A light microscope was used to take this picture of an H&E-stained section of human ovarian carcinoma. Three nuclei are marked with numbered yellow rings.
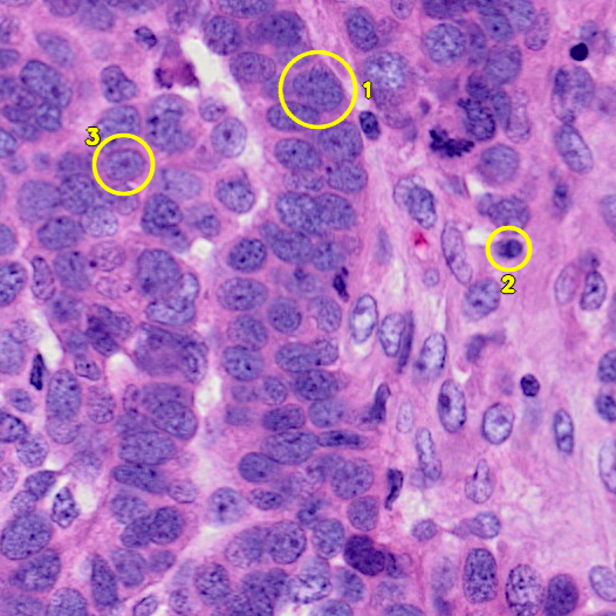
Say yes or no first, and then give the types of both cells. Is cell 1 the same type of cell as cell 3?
Yes, in short, cells 1 and 3 are both carcinoma cells.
